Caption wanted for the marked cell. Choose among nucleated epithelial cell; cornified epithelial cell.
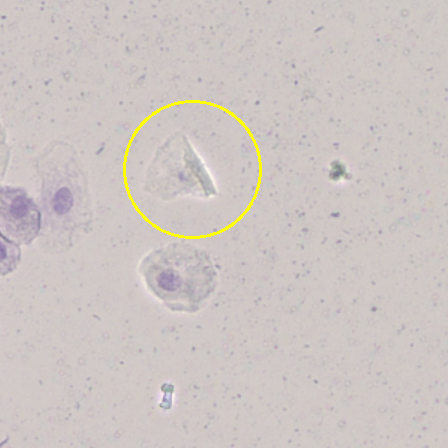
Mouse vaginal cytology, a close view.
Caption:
Ringed in yellow is a cornified epithelial cell.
